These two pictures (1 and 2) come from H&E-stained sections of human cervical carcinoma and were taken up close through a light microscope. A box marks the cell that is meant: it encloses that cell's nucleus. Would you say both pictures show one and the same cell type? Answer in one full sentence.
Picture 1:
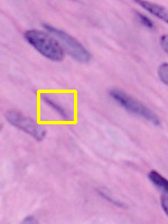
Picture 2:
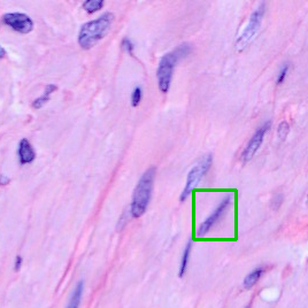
Yes, the two pictures both show fibroblasts.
